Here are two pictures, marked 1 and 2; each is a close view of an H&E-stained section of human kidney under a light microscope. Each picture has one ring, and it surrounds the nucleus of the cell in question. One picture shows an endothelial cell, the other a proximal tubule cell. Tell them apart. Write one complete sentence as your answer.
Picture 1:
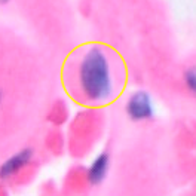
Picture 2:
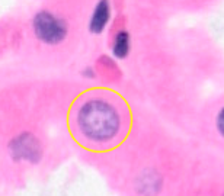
It is picture 1 that shows an endothelial cell, and picture 2 that shows a proximal tubule cell.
